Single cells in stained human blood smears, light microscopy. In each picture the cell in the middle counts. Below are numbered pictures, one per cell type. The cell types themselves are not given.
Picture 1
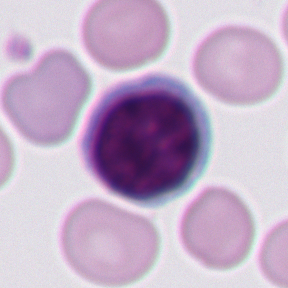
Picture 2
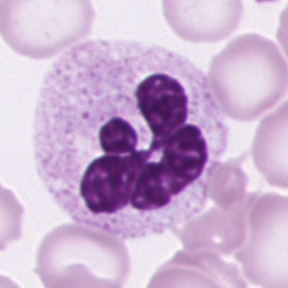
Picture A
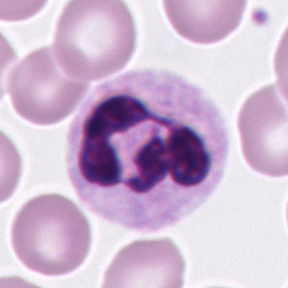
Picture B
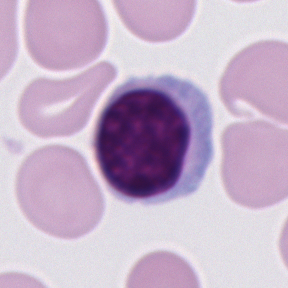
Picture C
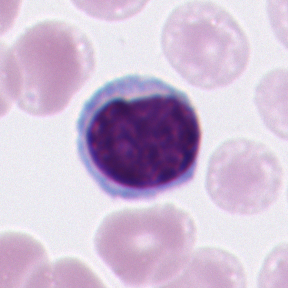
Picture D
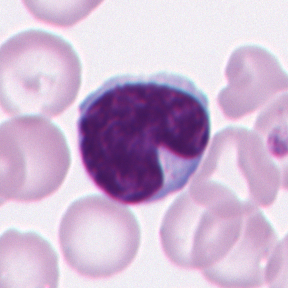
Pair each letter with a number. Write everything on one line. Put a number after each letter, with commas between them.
A 2, B 1, C 1, D 1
